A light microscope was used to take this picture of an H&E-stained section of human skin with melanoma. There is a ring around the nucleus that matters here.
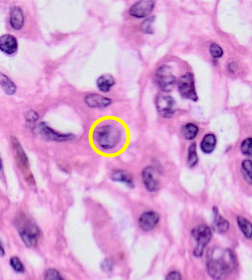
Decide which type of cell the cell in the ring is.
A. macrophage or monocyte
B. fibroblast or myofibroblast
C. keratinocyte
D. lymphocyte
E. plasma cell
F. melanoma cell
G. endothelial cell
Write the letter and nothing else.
G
